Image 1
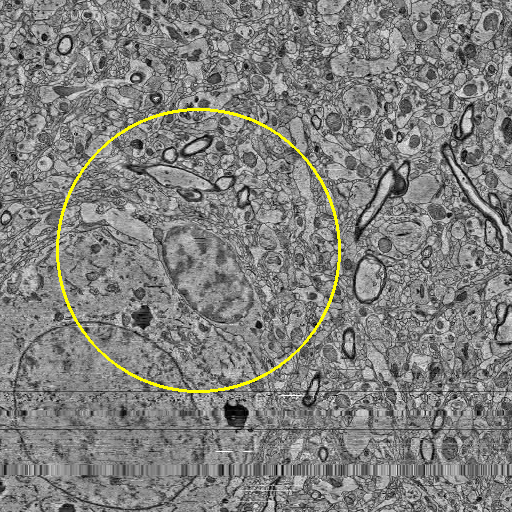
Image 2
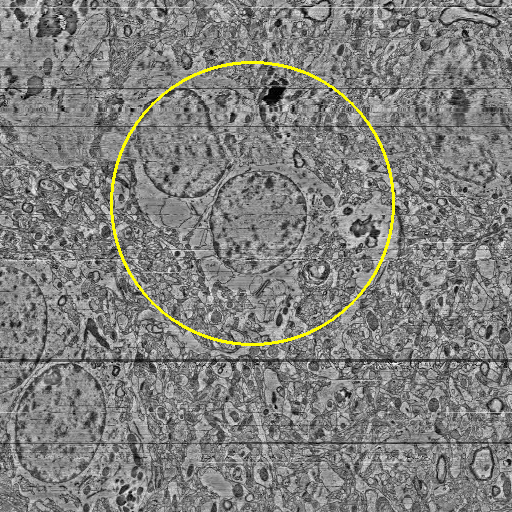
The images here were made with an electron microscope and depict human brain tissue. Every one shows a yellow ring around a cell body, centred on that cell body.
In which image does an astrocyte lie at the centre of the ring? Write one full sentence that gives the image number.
My answer is image 2, where the asked-for cell sits at the centre of the ring.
